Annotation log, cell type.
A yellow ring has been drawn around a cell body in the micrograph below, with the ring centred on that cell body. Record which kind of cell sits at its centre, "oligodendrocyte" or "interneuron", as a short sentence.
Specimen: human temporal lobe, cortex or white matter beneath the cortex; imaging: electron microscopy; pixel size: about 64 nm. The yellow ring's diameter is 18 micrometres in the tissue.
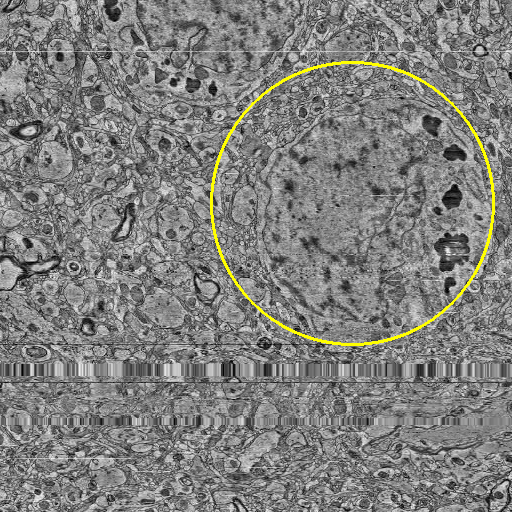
The cell at the centre of this ring is an interneuron.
